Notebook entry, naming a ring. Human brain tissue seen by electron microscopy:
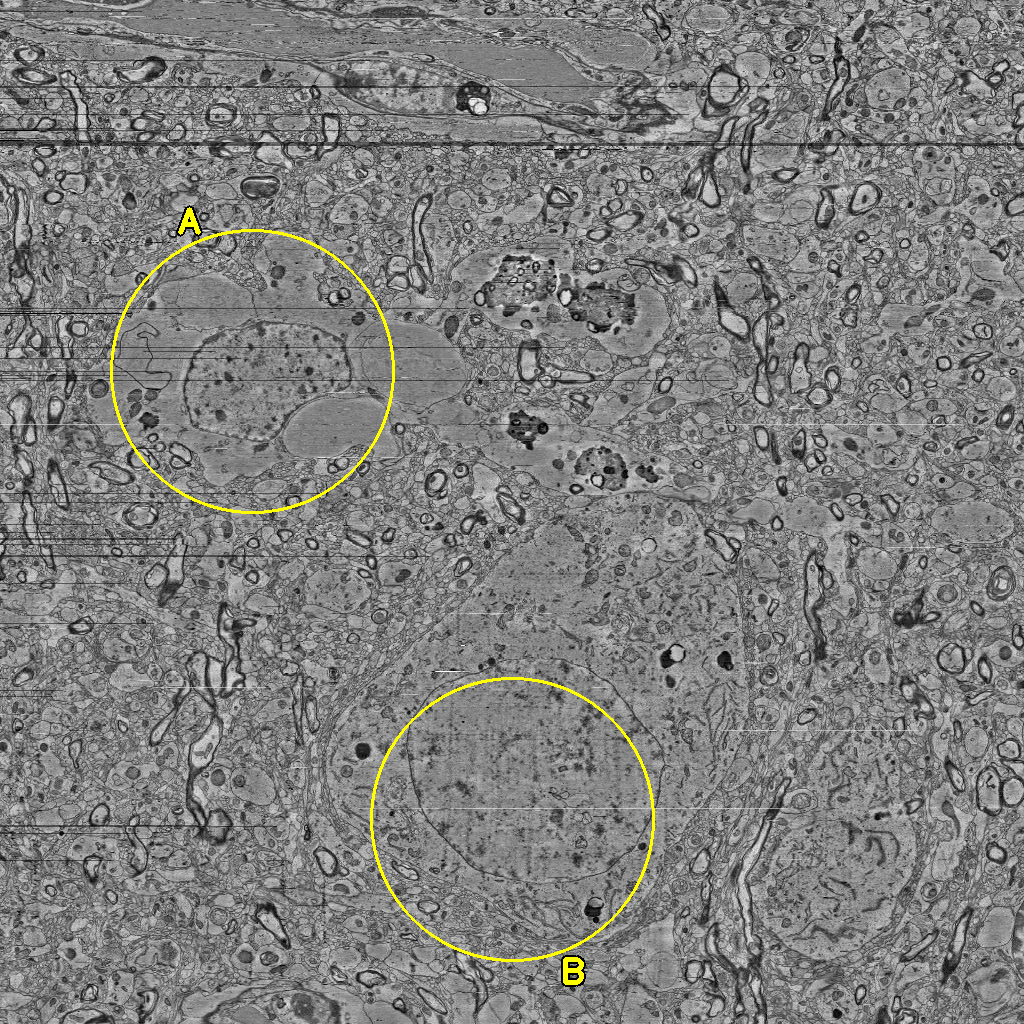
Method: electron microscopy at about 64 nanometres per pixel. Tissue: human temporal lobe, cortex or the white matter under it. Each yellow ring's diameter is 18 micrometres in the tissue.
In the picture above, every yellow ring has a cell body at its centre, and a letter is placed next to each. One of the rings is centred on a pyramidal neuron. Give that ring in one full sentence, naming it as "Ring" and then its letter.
Ring B is the ring whose centre holds the cell asked for.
